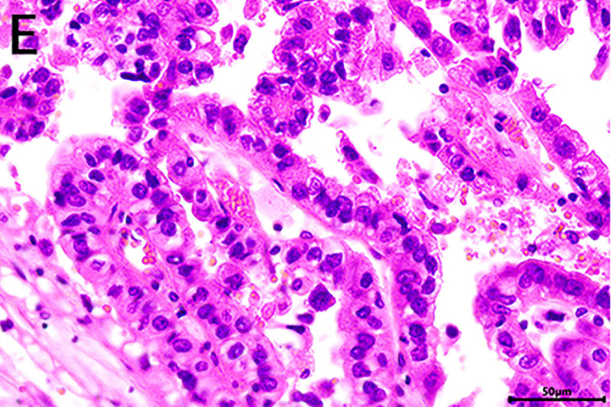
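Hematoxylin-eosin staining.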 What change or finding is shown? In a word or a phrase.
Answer: Tumor.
